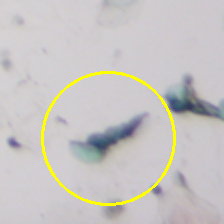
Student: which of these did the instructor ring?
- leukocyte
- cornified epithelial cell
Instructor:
The cell I ringed is a cornified epithelial cell.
